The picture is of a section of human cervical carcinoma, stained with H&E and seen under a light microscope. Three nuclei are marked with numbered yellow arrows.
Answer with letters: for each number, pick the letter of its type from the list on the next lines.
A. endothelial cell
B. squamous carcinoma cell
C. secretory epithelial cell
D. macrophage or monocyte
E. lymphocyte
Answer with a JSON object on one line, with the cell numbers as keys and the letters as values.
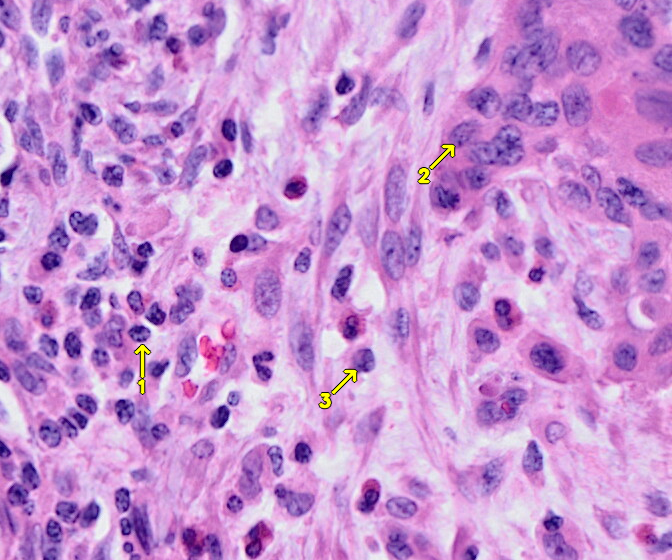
{"1": "E", "2": "B", "3": "D"}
